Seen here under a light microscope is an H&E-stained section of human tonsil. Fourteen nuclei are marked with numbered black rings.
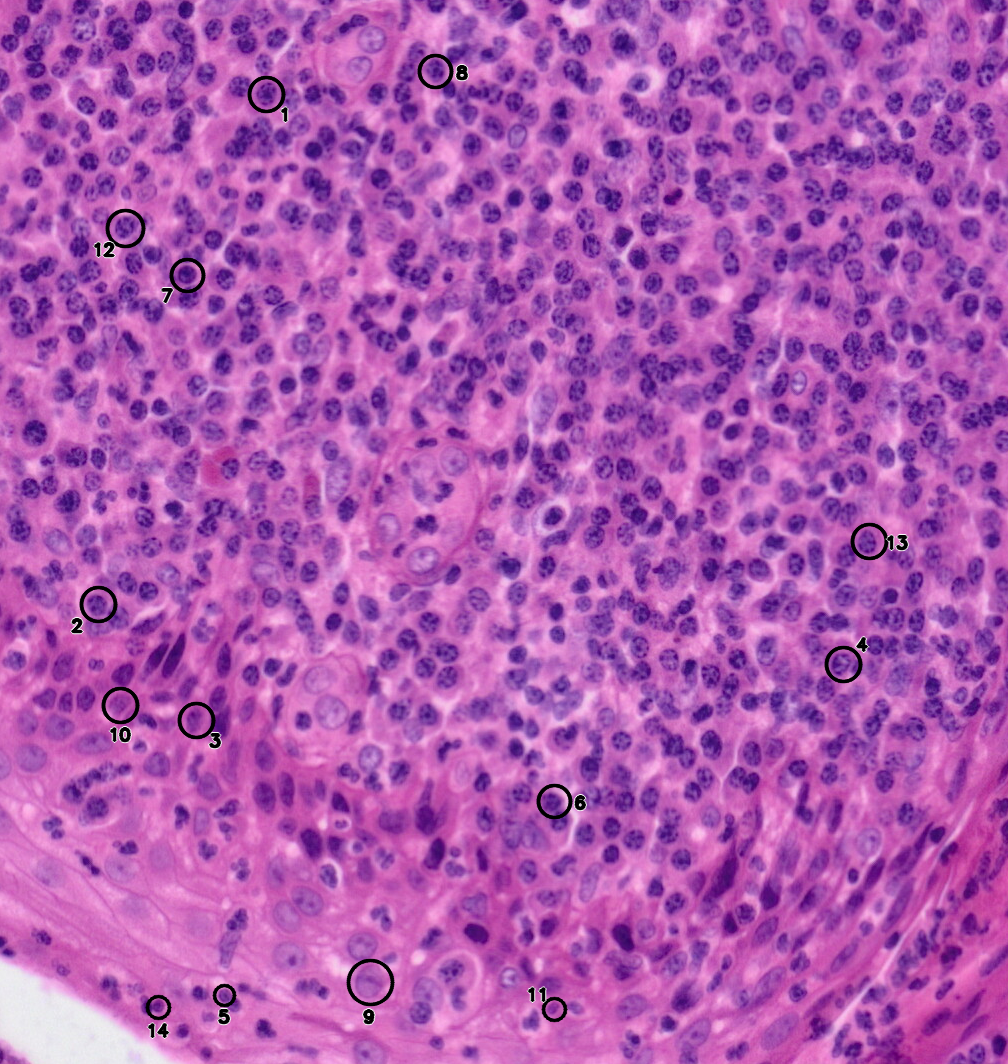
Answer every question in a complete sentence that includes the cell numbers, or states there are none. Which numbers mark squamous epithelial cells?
The cells picked out by numbers 3, 5, 9, 10, 11 and 14 are squamous epithelial cells.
